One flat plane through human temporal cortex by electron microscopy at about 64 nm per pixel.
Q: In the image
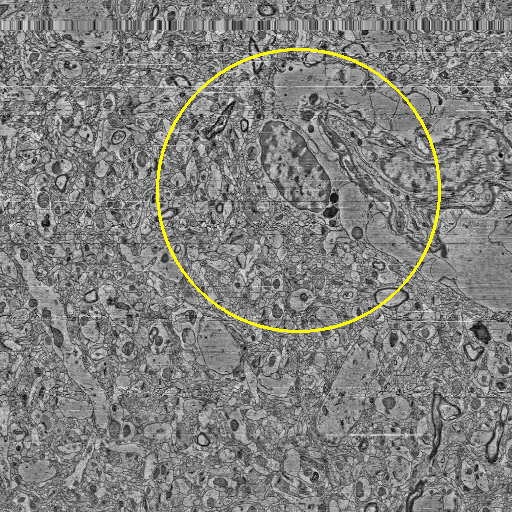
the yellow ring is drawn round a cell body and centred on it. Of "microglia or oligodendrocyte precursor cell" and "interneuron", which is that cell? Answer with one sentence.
The cell centred in the ring is a microglial cell or oligodendrocyte precursor cell.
